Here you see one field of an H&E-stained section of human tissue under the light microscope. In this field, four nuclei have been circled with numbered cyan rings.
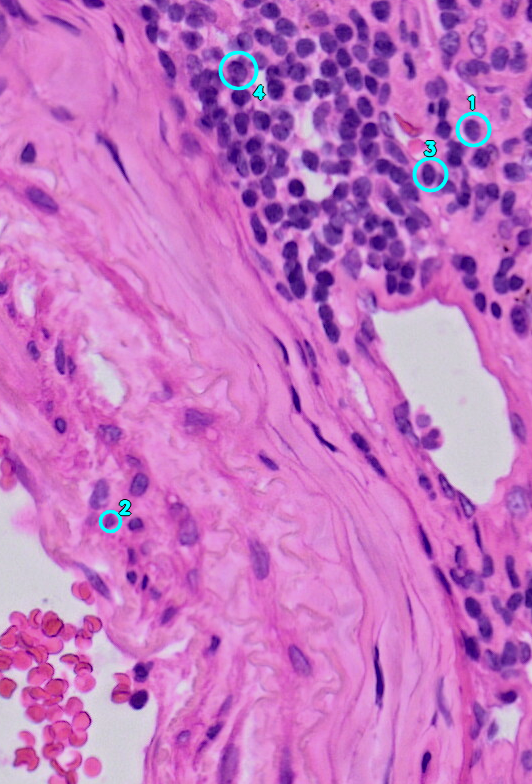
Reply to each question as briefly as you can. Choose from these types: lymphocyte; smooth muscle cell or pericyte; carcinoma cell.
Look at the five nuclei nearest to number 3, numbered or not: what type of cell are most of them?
lymphocyte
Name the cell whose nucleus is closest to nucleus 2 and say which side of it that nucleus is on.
a smooth muscle cell or pericyte to the left of nucleus 2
